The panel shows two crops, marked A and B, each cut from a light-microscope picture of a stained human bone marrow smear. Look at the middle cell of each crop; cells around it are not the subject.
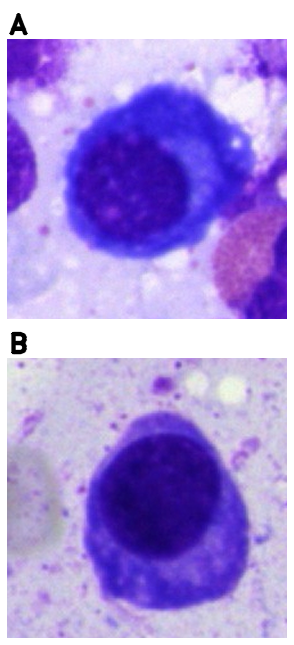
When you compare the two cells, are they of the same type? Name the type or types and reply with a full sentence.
Yes, the two crops are alike in showing plasma cells.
